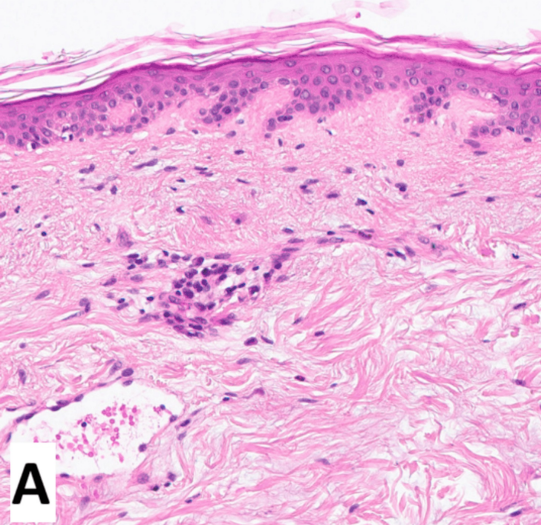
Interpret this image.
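This is skin, with a thin epidermis on top and the dermis beneath it. The upper dermis is pale and loose, its pink collagen fibres spread apart by clear spaces. Around a small vessel in the mid dermis sits a cluster of cells with dark round to oval nuclei. At the lower left a widened, thin-walled vessel is filled with red blood cells.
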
